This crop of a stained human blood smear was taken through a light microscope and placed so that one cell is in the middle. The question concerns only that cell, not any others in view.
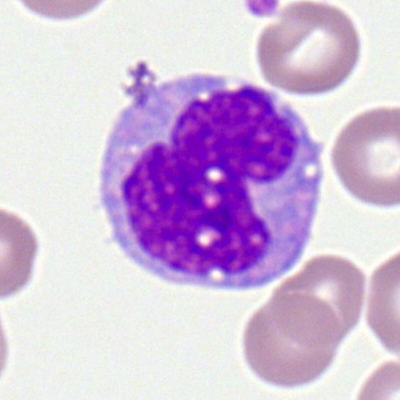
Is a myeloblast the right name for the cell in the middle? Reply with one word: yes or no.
no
